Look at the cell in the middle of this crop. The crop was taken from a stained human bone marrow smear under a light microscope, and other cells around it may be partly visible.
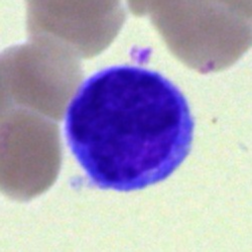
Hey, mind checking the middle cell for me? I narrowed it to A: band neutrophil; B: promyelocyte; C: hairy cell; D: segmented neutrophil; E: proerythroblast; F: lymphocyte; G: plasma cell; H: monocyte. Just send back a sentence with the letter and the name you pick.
The centered cell is a monocyte, which is why option H is right.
